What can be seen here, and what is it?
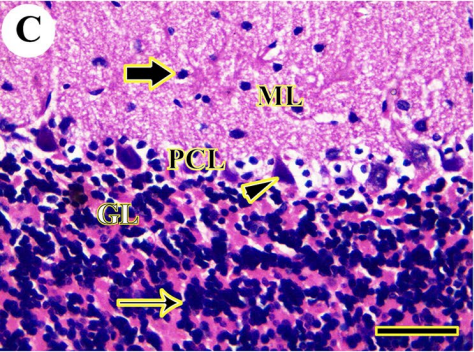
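Cerebellar cortex showing damaged neurons. The pale pink fibrillar molecular layer at the top holds scattered nuclei, among them small, darkly stained shrunken neurons. Along the Purkinje cell row several cells are shrunken, angular and deeply stained, some surrounded by clear spaces, while others keep a rounder outline with pale nuclei. The regular row of large rounded Purkinje cells seen in healthy cortex is disturbed.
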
